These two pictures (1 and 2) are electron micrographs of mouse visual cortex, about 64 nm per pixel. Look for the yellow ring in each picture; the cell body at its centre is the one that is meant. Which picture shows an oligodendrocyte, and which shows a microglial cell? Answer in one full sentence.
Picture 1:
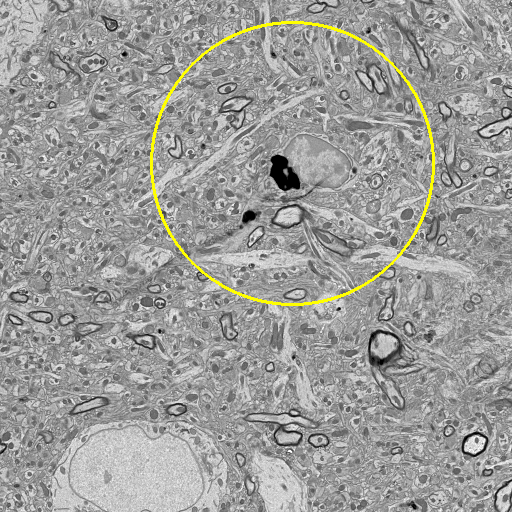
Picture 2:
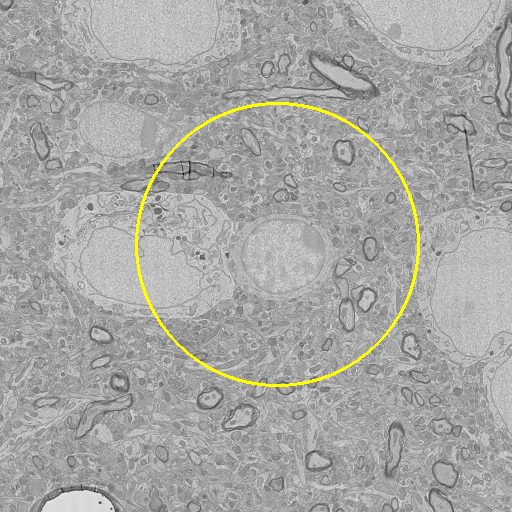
The cell in picture 1 is a microglial cell, and the one in picture 2 is an oligodendrocyte.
